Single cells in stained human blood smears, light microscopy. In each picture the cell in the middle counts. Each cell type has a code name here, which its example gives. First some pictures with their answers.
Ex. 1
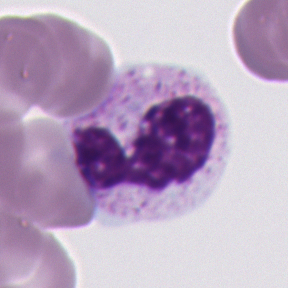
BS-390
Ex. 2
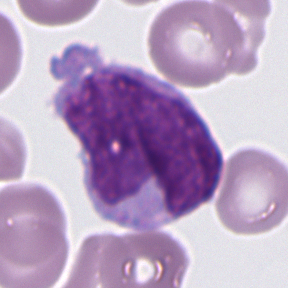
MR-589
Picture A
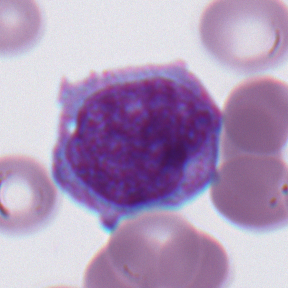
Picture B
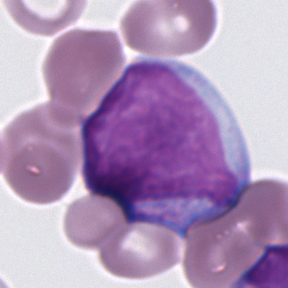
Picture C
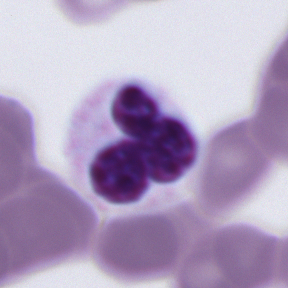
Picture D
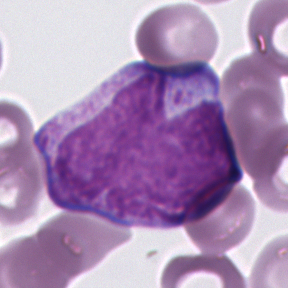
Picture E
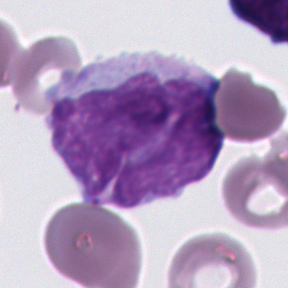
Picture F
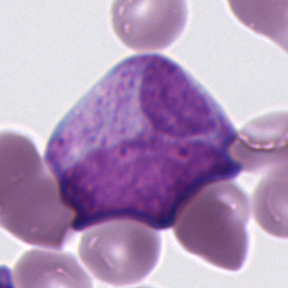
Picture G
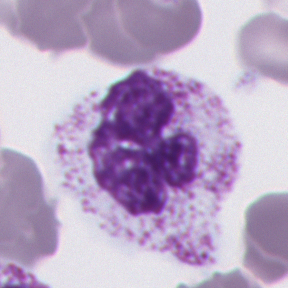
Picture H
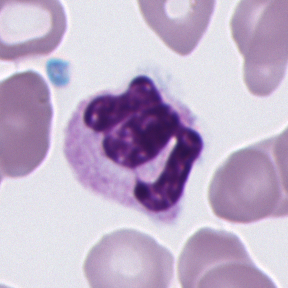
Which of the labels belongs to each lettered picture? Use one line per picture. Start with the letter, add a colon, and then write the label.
A: MR-589
B: MR-589
C: BS-390
D: MR-589
E: MR-589
F: MR-589
G: BS-390
H: BS-390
